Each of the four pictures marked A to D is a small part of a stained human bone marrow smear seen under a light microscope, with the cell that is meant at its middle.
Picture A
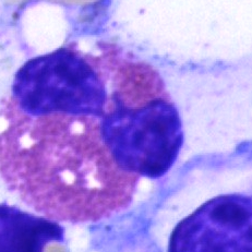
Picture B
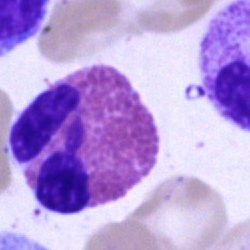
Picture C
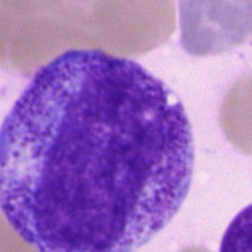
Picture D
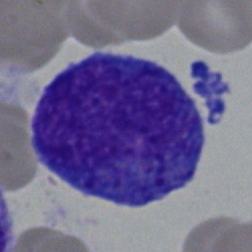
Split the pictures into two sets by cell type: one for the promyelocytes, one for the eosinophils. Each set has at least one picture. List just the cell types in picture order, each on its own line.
eosinophil
eosinophil
promyelocyte
promyelocyte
